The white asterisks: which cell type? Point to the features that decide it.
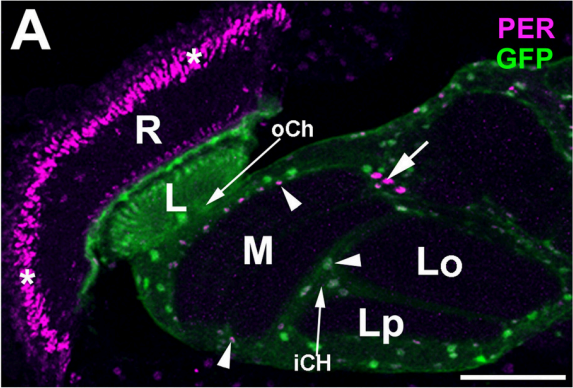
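The asterisks lie in a broad outer curved layer packed with magenta nuclei. The nuclei are densely aligned in rows along the outer surface, outside the optic lobe. On this evidence: compound eye photoreceptors.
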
